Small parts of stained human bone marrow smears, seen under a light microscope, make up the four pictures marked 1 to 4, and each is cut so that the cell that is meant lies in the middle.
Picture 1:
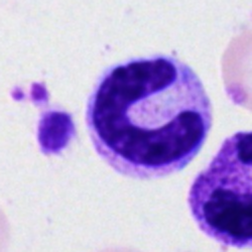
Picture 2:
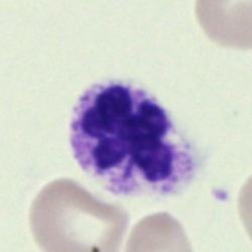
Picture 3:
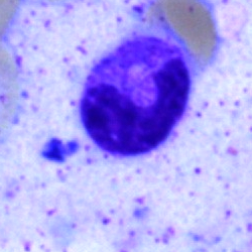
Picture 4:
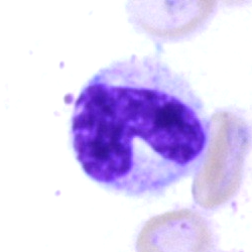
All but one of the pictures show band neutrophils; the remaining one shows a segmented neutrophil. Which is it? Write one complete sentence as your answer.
The cell in picture 2 is the segmented neutrophil.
